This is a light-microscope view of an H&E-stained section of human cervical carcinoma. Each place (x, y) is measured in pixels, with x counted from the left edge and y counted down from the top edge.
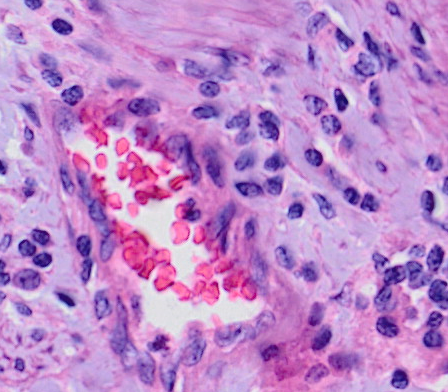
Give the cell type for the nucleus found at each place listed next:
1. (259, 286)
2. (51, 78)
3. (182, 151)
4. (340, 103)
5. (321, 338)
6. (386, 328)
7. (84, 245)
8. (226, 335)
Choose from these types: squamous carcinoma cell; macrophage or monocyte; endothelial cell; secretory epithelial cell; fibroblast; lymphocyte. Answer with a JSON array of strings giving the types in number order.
["endothelial cell", "lymphocyte", "endothelial cell", "lymphocyte", "lymphocyte", "lymphocyte", "lymphocyte", "endothelial cell"]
